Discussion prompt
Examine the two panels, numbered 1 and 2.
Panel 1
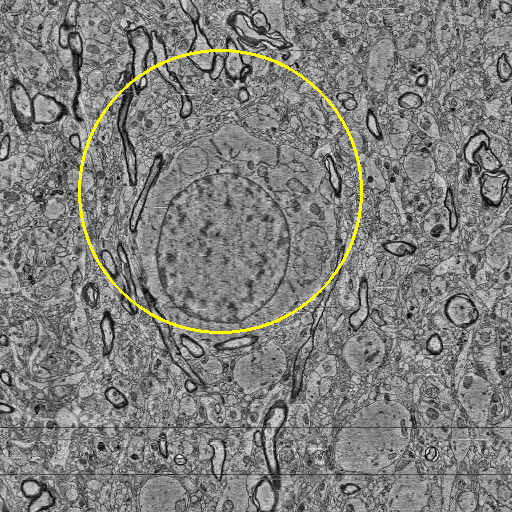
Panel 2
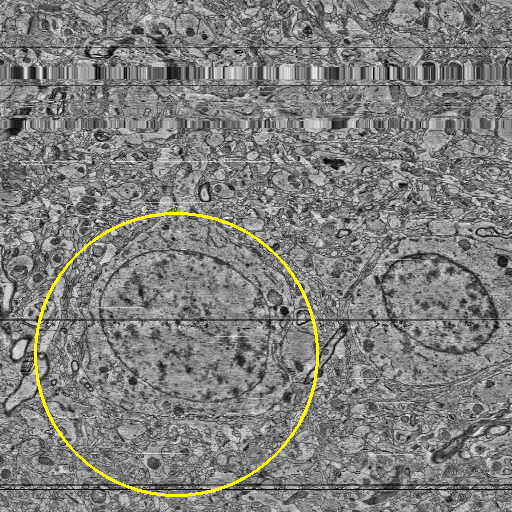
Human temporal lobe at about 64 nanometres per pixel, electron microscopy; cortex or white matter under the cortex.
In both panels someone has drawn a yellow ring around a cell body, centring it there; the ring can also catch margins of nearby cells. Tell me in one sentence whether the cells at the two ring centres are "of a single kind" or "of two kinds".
Taken together, the two cells centred in the rings of Panels 1 and 2 are of two kinds.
